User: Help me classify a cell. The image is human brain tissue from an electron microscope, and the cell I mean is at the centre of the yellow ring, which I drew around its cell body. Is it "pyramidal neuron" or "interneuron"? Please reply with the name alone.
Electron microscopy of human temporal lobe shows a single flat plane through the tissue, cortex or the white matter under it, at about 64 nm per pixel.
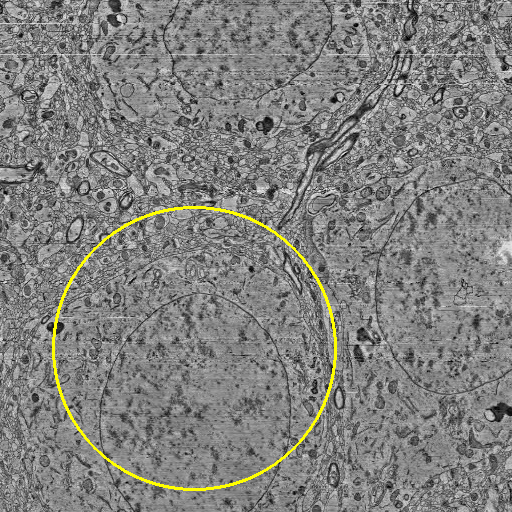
pyramidal neuron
